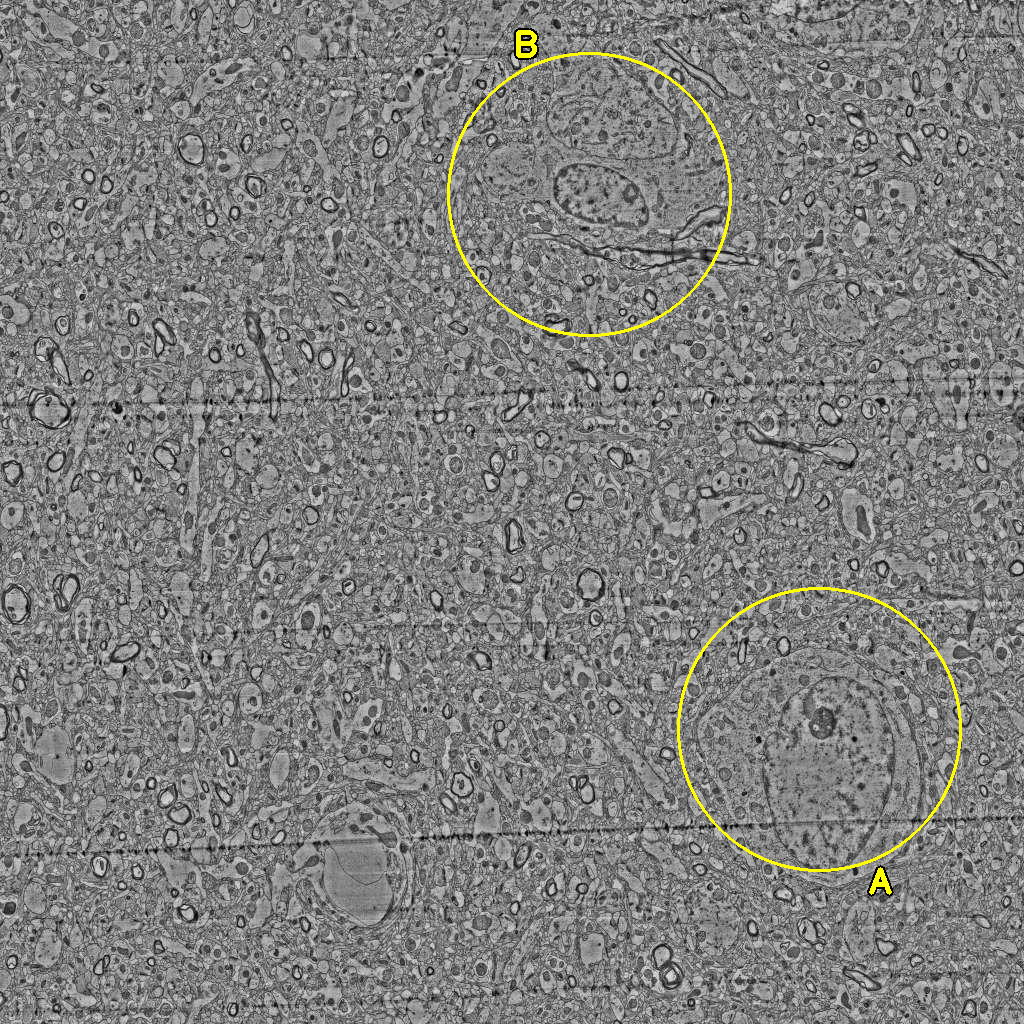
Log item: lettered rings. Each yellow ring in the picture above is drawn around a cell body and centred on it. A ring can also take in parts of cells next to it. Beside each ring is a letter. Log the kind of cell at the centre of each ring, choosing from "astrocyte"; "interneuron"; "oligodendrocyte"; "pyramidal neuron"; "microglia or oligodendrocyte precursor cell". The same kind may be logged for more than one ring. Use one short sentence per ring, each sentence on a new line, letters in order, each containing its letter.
Within ring A, the centre is taken by an interneuron.
Within ring B, the centre is taken by a microglial cell or oligodendrocyte precursor cell.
